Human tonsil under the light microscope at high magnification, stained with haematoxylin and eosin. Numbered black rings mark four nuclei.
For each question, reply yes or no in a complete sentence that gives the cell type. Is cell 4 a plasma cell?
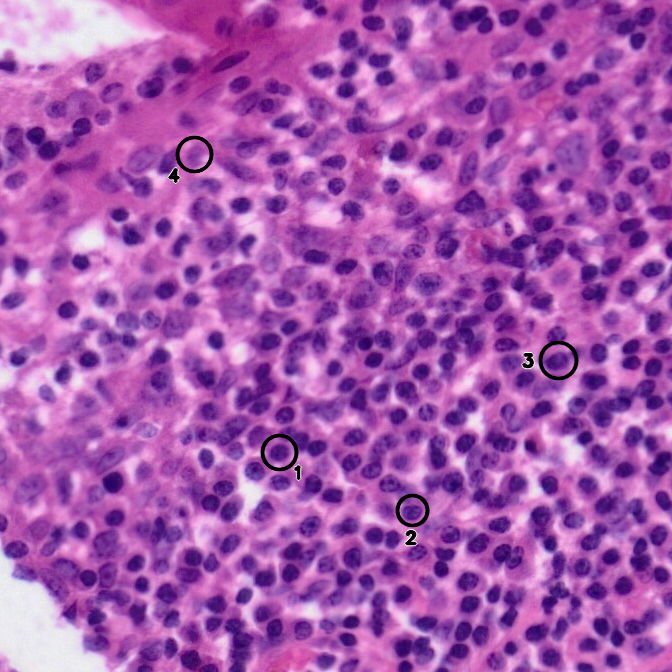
No, cell number 4 is a squamous epithelial cell; it is not a plasma cell.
